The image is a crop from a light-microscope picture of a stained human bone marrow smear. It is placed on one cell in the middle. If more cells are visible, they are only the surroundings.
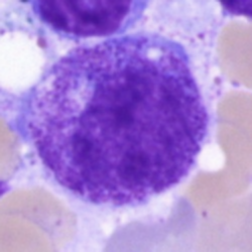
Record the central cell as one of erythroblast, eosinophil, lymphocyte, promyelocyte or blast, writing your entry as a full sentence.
On this slide crop, the central cell is a promyelocyte.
